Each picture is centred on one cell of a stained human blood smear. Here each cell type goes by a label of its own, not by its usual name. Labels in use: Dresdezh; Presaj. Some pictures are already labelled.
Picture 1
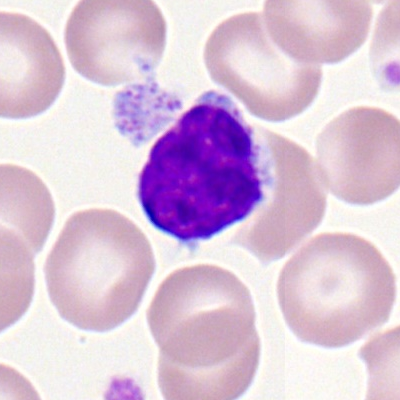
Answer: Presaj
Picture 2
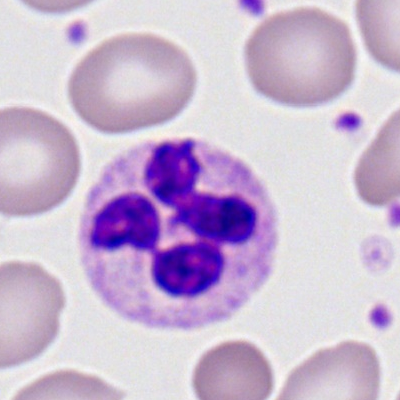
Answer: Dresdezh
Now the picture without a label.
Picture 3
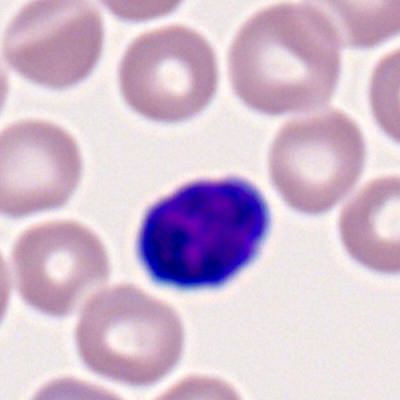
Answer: Presaj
